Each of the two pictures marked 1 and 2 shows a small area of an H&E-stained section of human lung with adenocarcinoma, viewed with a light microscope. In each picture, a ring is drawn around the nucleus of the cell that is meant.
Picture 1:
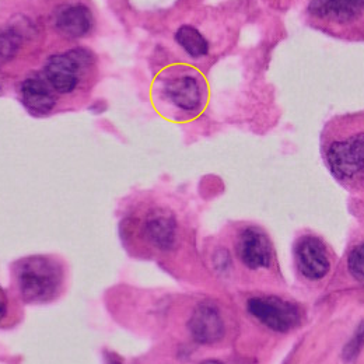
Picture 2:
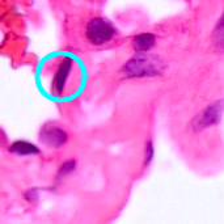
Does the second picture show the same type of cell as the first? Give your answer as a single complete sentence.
No, they differ: the cell is a “macrophage or monocyte” in picture 1 and an endothelial cell in picture 2.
